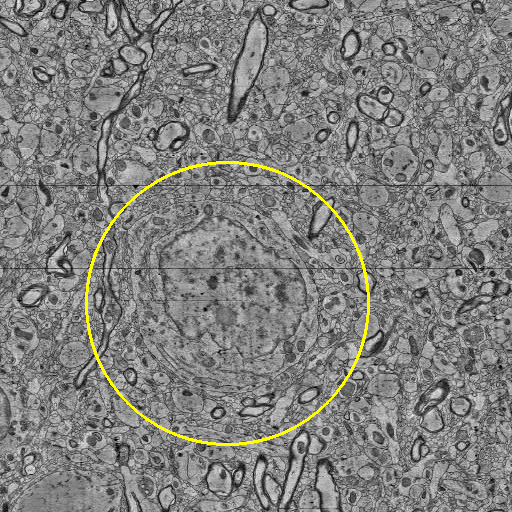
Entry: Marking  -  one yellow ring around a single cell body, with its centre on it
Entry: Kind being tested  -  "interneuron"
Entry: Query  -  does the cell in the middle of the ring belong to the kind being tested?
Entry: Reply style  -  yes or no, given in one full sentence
Yes, the centred cell within the ring in the picture does belong to the tested kind.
